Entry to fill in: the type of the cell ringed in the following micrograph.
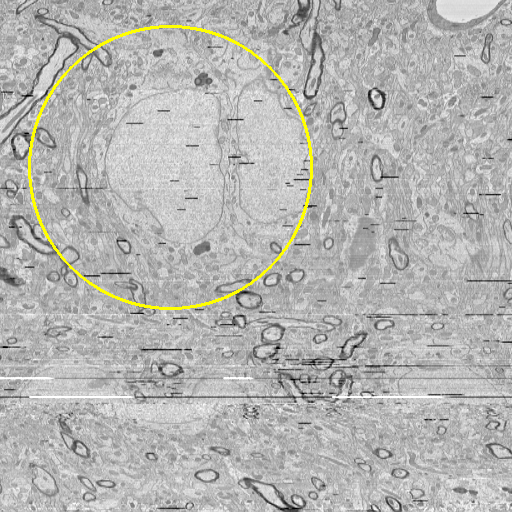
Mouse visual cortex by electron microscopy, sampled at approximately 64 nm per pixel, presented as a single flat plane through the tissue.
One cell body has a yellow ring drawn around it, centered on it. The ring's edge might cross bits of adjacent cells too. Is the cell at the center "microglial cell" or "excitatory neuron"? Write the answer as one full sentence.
This entry names an excitatory neuron as the cell whose body lies at the ring's center.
